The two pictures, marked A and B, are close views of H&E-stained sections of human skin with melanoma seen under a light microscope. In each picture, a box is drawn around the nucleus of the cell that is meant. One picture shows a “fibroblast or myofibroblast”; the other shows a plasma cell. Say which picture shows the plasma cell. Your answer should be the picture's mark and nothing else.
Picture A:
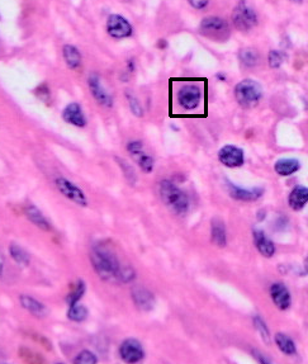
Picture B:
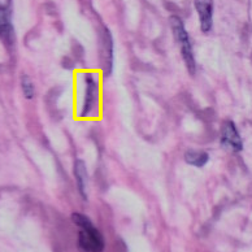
A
